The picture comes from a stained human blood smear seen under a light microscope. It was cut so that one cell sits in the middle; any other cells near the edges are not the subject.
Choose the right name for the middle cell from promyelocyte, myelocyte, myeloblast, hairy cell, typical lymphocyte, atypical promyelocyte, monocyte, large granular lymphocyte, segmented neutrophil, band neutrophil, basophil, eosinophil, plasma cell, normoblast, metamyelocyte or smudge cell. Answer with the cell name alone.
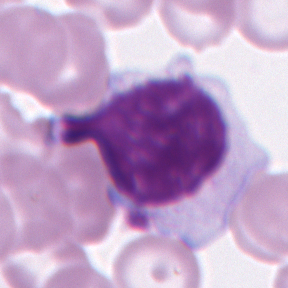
typical lymphocyte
